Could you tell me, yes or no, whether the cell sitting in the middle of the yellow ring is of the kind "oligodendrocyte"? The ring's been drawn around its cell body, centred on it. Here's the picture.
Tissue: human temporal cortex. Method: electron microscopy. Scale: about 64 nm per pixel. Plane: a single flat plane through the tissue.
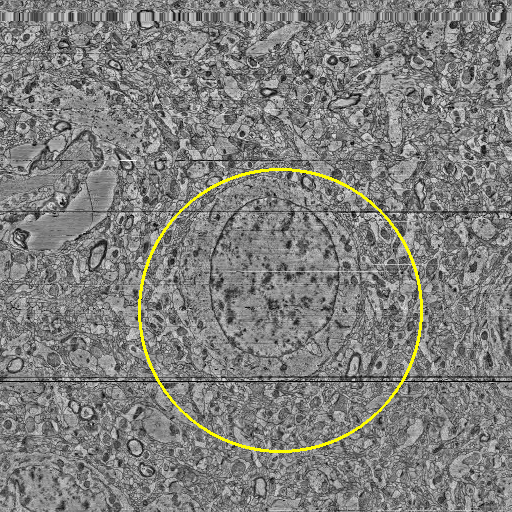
No, it is of another kind.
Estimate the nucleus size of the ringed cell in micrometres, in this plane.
The nucleus measures about 11 by 8 micrometres in this plane.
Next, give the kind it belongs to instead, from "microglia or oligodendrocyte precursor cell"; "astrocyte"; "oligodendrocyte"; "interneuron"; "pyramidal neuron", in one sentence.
This picture has a pyramidal neuron at the centre of its ring.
